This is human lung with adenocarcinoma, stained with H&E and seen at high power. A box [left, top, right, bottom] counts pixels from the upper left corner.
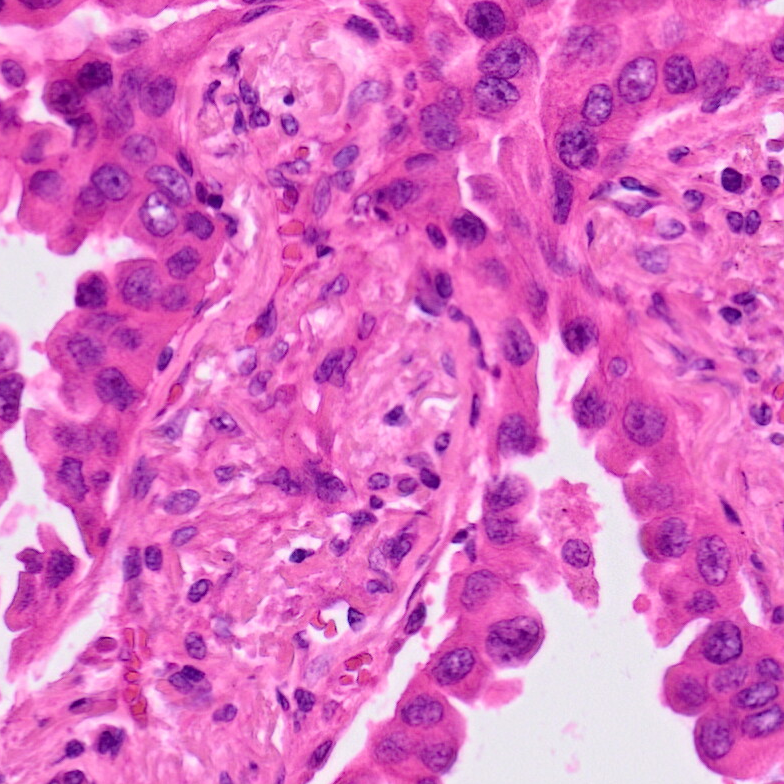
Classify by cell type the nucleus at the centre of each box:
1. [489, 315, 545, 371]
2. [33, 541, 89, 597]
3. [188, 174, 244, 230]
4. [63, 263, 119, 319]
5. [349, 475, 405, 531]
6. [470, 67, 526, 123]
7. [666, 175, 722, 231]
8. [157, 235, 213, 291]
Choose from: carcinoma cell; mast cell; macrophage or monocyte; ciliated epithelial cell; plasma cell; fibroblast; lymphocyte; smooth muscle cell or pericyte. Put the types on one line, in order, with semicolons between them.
carcinoma cell; carcinoma cell; lymphocyte; carcinoma cell; lymphocyte; carcinoma cell; plasma cell; carcinoma cell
